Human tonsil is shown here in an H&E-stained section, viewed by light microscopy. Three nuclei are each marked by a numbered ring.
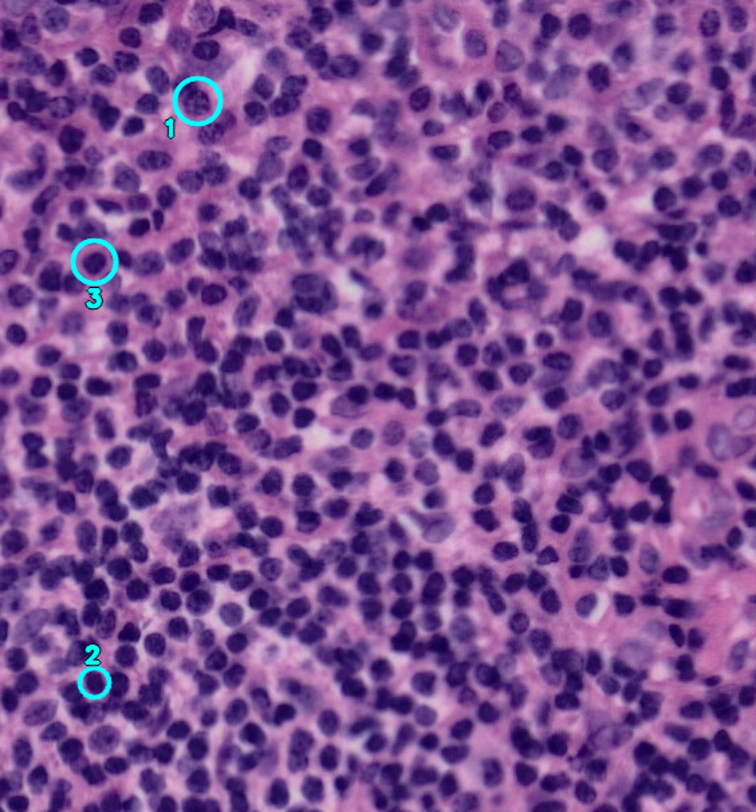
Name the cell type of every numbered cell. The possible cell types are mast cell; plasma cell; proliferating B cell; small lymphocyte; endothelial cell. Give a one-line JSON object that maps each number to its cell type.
{"1": "plasma cell", "2": "small lymphocyte", "3": "plasma cell"}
